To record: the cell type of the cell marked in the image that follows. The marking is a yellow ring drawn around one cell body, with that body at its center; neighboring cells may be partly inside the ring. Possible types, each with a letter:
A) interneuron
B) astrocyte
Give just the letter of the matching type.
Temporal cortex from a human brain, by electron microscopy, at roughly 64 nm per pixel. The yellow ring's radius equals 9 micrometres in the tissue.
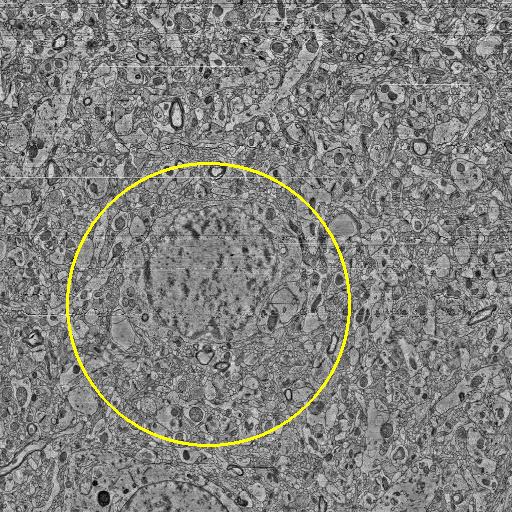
A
